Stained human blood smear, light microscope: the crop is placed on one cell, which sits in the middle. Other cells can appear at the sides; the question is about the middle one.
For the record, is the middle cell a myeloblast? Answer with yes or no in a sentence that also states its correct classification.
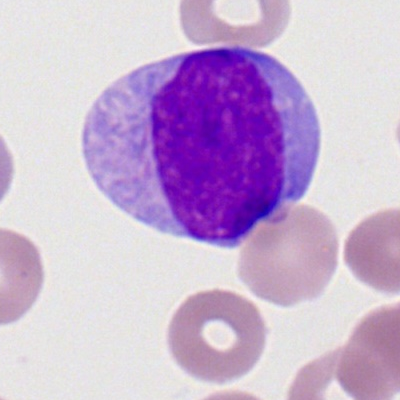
Yes, the cell sitting in the center is a myeloblast.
